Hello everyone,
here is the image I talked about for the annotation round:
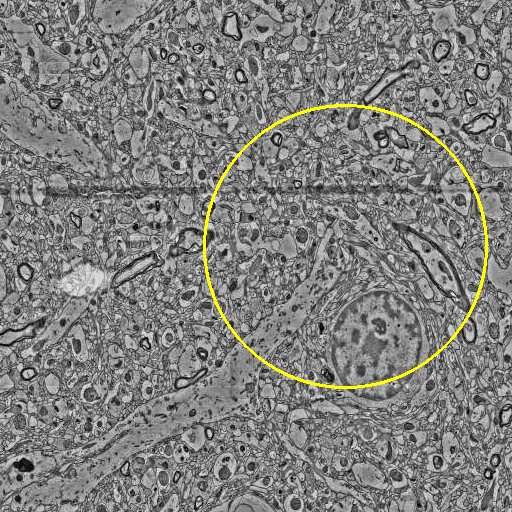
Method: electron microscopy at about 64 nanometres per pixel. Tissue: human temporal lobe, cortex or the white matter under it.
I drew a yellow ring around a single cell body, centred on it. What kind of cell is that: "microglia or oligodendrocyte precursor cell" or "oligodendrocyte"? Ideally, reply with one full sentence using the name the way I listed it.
The cell your yellow ring is centred on is a microglial cell or oligodendrocyte precursor cell, going by your list.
